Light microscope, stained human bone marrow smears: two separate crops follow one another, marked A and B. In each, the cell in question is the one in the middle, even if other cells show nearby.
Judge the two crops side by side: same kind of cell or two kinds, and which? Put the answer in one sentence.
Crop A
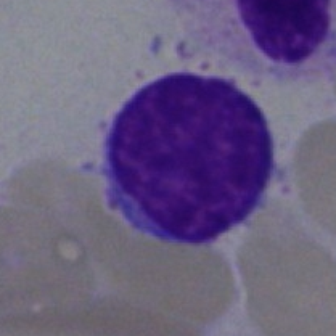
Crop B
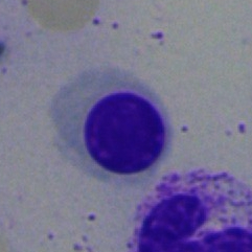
No, an erythroblast is the cell in crop B, and crop A contains a lymphocyte.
